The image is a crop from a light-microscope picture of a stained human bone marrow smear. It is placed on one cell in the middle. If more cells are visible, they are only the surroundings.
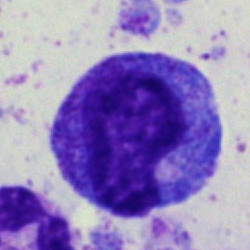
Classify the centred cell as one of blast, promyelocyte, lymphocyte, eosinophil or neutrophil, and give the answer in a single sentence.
To answer, the cell in the center of the crop is a promyelocyte.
